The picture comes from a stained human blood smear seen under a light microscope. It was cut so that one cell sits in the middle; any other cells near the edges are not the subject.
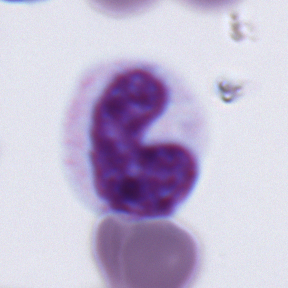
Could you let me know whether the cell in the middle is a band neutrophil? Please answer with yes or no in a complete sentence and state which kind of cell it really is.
Yes, centred in the crop is a band neutrophil.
